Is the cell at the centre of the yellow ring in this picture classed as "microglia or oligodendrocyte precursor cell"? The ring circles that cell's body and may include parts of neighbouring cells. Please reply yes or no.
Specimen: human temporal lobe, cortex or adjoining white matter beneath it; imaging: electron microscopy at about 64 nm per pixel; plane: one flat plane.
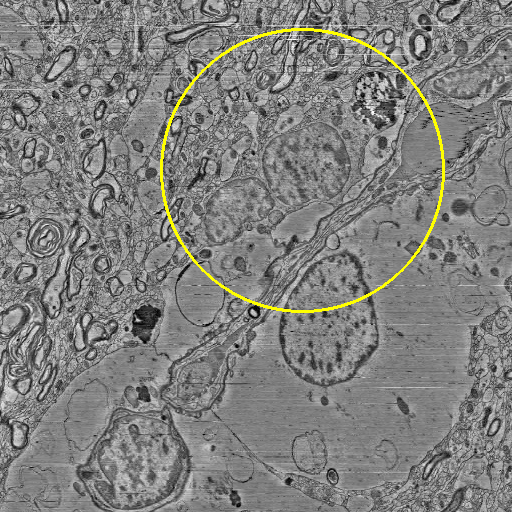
No, it is of another kind.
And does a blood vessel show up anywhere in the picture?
Yes, one is visible.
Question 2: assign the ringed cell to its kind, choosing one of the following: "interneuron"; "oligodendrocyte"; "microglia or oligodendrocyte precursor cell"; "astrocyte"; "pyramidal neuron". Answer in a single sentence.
The cell in question here is an oligodendrocyte.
